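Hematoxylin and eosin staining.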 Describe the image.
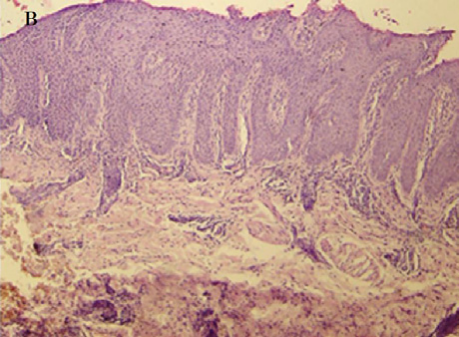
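At low power this shows a thickened epidermis over the dermis. Many long, finger-like rete ridges of fairly even length reach down into the dermis, alternating with slender papillae. A thin, darker layer of keratin lines the surface. The epidermis stains a dense purple from its crowded nuclei. Below it, the dermis is paler and looser, with pink collagen bundles. A few bundled structures and scattered vessels lie in the deeper dermis, and there is a denser, darker zone at the bottom edge.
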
